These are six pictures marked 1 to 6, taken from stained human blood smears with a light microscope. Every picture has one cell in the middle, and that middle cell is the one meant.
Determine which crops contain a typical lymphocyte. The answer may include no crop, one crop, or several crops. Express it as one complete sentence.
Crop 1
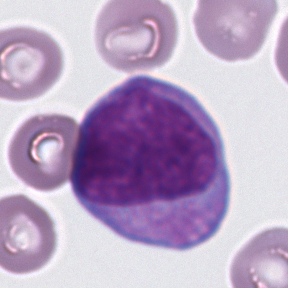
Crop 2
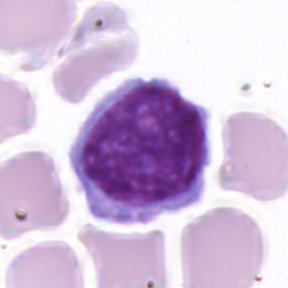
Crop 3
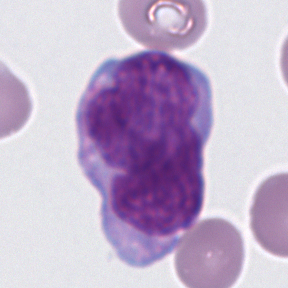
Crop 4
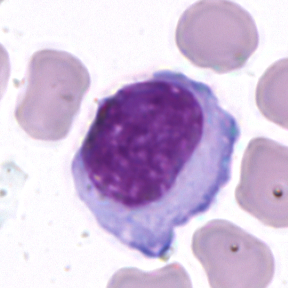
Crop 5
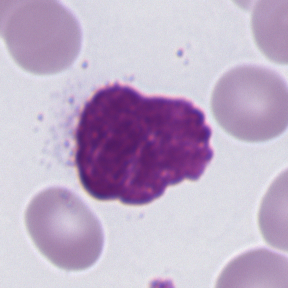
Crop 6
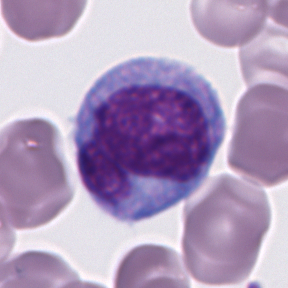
Among these crops, there is not one showing a typical lymphocyte.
